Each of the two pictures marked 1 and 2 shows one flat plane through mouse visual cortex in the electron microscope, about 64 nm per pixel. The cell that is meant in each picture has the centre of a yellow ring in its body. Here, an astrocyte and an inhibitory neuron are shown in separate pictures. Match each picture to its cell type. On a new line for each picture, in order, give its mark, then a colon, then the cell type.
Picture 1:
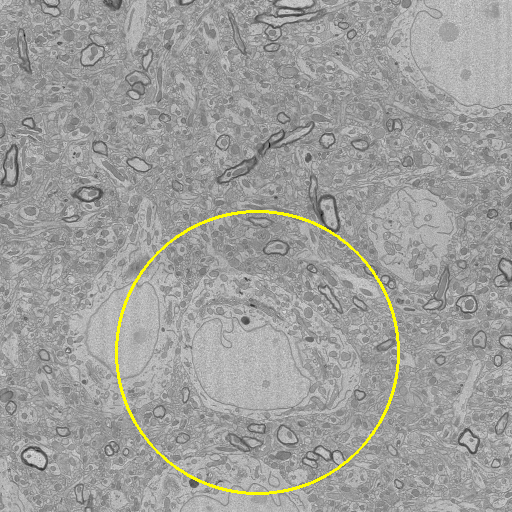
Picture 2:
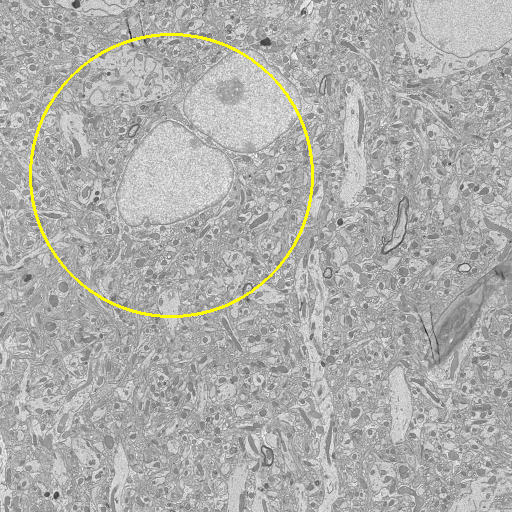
1: inhibitory neuron
2: astrocyte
